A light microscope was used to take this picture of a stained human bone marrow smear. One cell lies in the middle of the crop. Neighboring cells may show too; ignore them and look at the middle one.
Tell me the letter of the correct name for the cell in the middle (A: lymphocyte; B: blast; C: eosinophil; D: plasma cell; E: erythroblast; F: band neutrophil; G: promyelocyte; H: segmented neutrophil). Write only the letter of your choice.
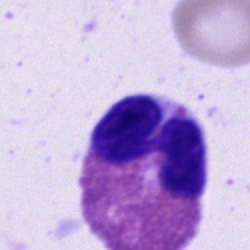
C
